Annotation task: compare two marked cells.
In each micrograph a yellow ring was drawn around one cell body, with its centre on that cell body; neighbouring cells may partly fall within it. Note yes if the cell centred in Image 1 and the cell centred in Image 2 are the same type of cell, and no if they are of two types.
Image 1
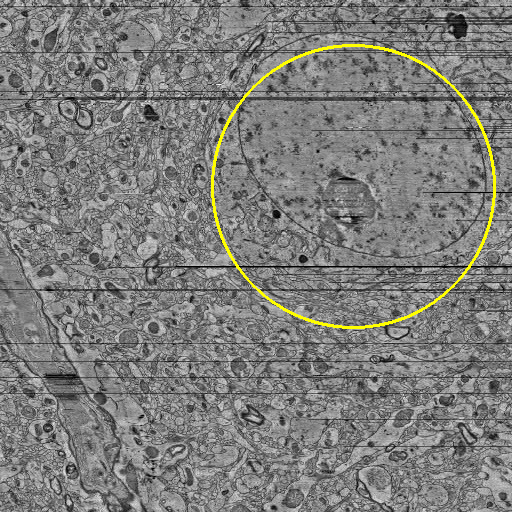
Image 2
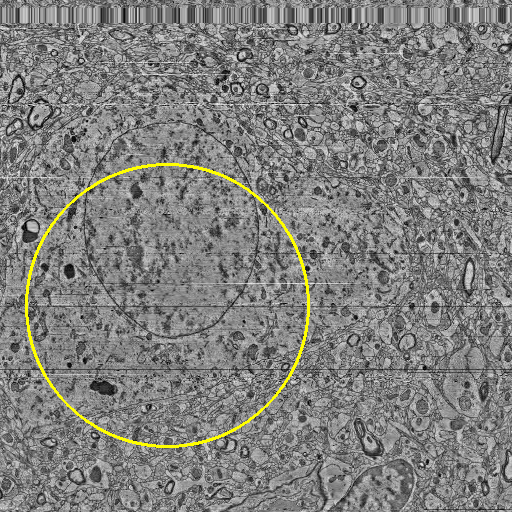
yes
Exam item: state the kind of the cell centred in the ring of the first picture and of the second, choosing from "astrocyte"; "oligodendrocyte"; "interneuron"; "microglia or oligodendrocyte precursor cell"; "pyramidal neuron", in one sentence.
The cell in the first picture is a pyramidal neuron, and so is the one in the second.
